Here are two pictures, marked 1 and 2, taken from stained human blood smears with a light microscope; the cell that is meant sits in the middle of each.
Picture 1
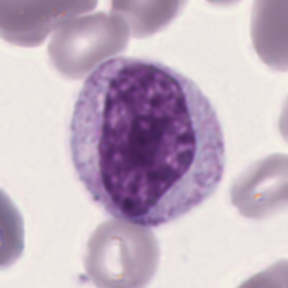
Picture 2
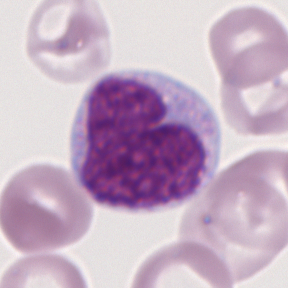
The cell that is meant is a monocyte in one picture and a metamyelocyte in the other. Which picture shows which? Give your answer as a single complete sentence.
It is picture 1 that shows a metamyelocyte, and picture 2 that shows a monocyte.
